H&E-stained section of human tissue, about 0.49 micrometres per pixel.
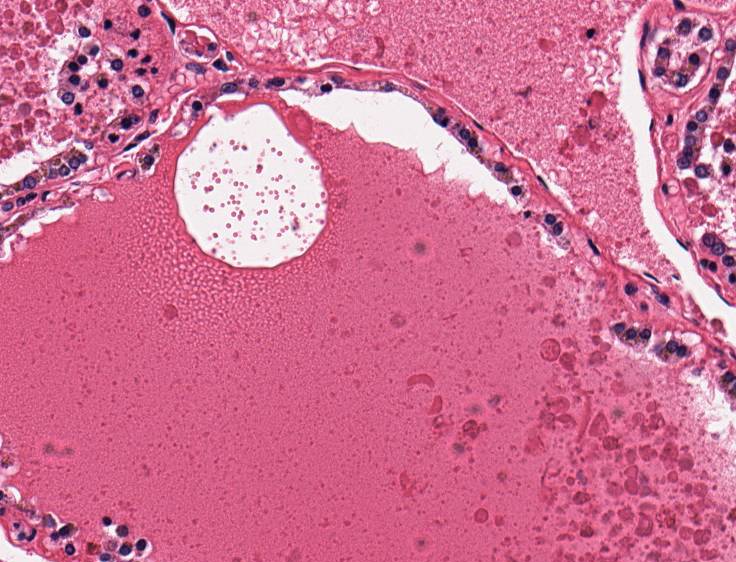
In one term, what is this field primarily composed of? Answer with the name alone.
thyroid follicle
